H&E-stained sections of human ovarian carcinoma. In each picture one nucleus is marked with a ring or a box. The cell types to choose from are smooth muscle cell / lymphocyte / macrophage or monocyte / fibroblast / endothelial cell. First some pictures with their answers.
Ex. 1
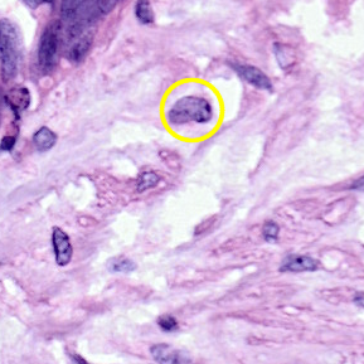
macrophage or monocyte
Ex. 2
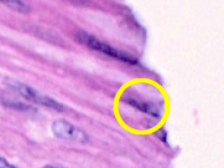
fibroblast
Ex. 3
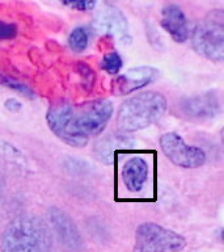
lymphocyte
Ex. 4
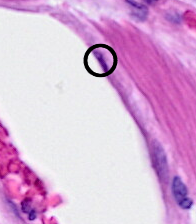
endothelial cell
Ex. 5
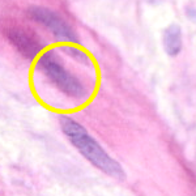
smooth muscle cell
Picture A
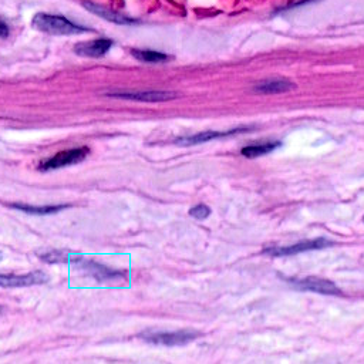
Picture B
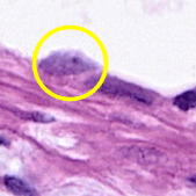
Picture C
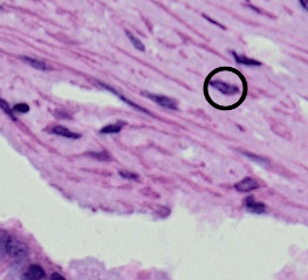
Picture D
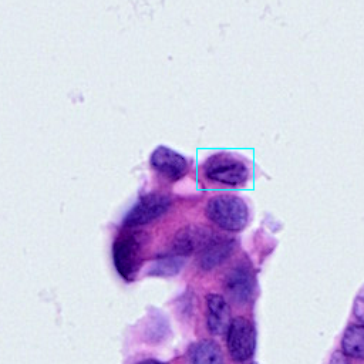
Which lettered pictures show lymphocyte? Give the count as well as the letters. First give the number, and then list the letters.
0, none of them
